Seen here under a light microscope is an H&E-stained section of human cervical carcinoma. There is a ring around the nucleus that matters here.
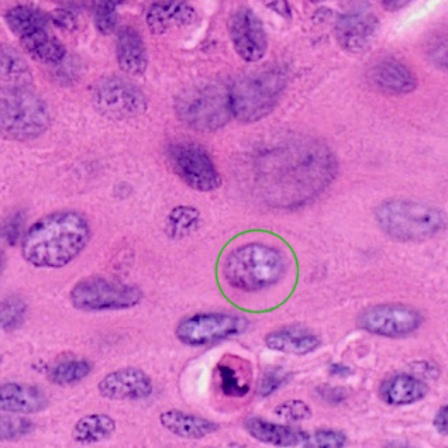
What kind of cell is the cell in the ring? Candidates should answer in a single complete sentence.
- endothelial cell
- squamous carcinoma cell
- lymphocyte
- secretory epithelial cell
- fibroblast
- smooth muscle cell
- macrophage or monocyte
The expected answer is simply that the cell in the ring is a squamous carcinoma cell.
